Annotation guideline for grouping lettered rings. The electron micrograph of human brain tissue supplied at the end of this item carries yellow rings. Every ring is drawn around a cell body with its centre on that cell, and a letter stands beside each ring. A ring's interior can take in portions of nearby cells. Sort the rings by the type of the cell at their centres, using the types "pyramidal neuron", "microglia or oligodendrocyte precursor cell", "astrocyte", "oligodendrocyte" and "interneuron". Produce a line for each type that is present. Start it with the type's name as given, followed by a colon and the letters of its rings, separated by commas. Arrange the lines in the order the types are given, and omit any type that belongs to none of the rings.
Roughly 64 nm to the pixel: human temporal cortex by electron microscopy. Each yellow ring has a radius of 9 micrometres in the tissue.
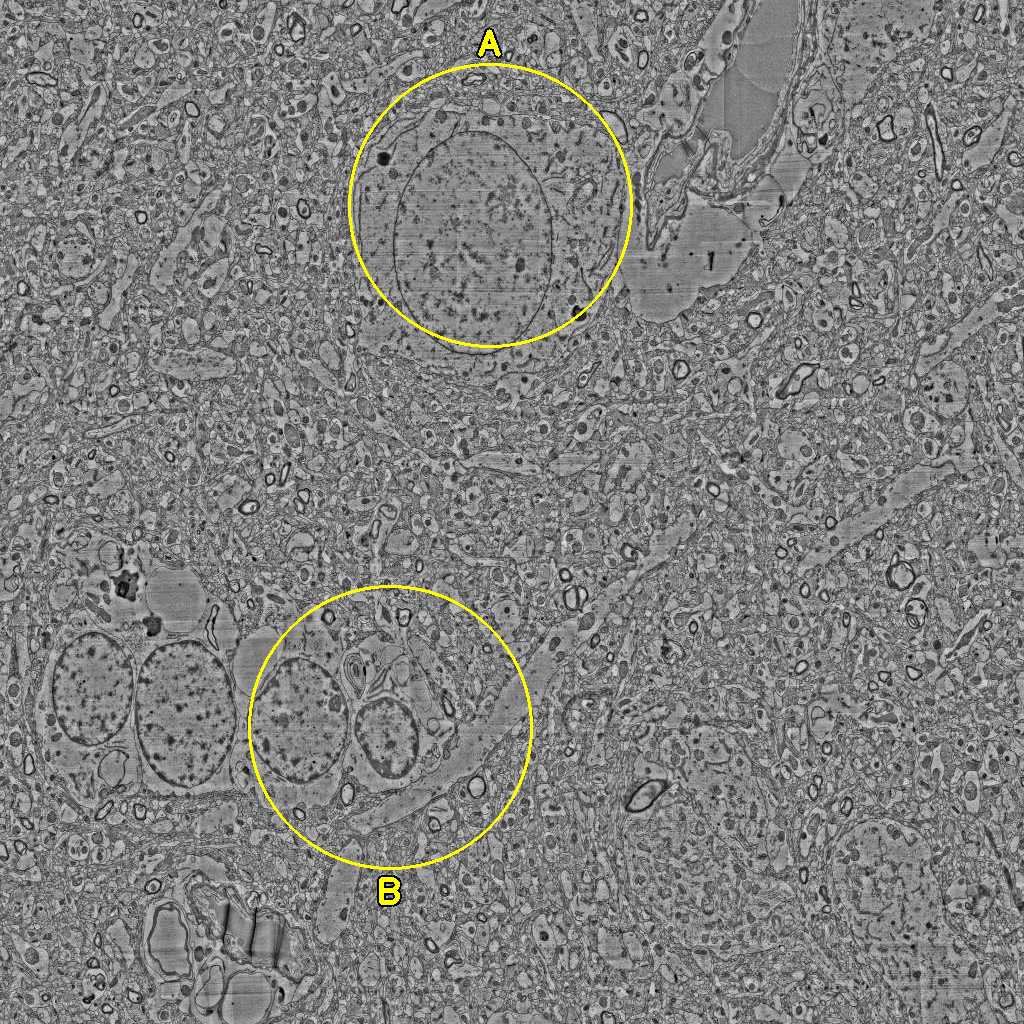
pyramidal neuron: A
astrocyte: B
